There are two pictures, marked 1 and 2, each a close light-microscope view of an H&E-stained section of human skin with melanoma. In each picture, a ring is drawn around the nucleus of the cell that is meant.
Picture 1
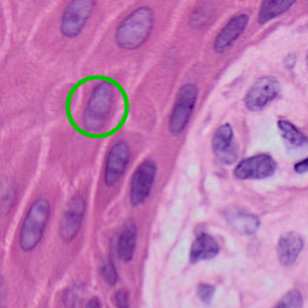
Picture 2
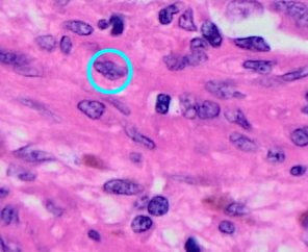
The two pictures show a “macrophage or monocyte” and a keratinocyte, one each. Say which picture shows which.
1: keratinocyte
2: macrophage or monocyte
